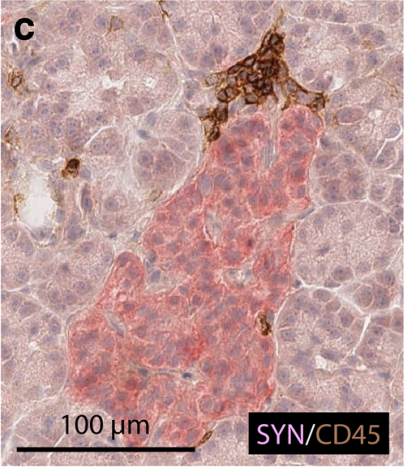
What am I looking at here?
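This is pancreas with an islet of endocrine cells, stained pink-red, lying among pale exocrine acini, with a small clump of brown-stained immune cells at its upper edge. The islet cells form an irregular compact cluster with round bluish nuclei and pinkish cytoplasm, clearly set off from the surrounding acinar cells, which are arranged in rounded groups with more granular, paler cytoplasm. The brown cells are small and tightly packed at the islet border rather than spread through it, with only a few scattered brown cells elsewhere in the surrounding tissue.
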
